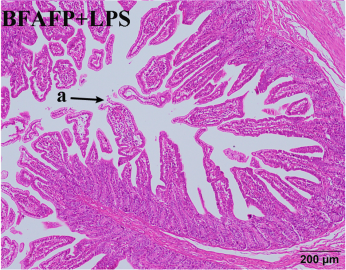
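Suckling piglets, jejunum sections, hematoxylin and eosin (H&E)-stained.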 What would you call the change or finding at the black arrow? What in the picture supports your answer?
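Villus shedding. A small detached fragment of villus tissue lies in the lumen at the arrow tip. Nearby villi are mostly intact with smooth outlines.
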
